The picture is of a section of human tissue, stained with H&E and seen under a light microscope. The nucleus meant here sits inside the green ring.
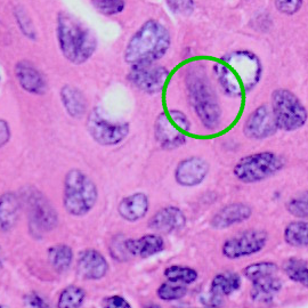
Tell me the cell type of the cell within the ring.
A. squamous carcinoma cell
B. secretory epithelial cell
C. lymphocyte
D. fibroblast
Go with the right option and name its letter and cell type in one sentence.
What option A states, that the cell within the ring is a squamous carcinoma cell, is correct.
